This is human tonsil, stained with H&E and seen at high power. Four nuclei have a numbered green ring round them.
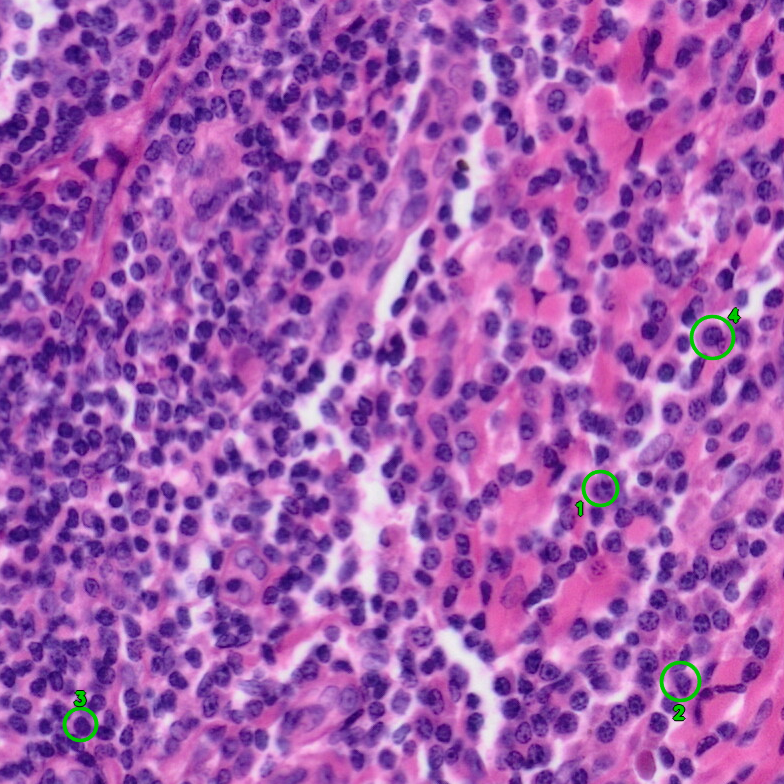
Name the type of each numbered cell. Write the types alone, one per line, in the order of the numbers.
plasma cell
plasma cell
small lymphocyte
plasma cell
